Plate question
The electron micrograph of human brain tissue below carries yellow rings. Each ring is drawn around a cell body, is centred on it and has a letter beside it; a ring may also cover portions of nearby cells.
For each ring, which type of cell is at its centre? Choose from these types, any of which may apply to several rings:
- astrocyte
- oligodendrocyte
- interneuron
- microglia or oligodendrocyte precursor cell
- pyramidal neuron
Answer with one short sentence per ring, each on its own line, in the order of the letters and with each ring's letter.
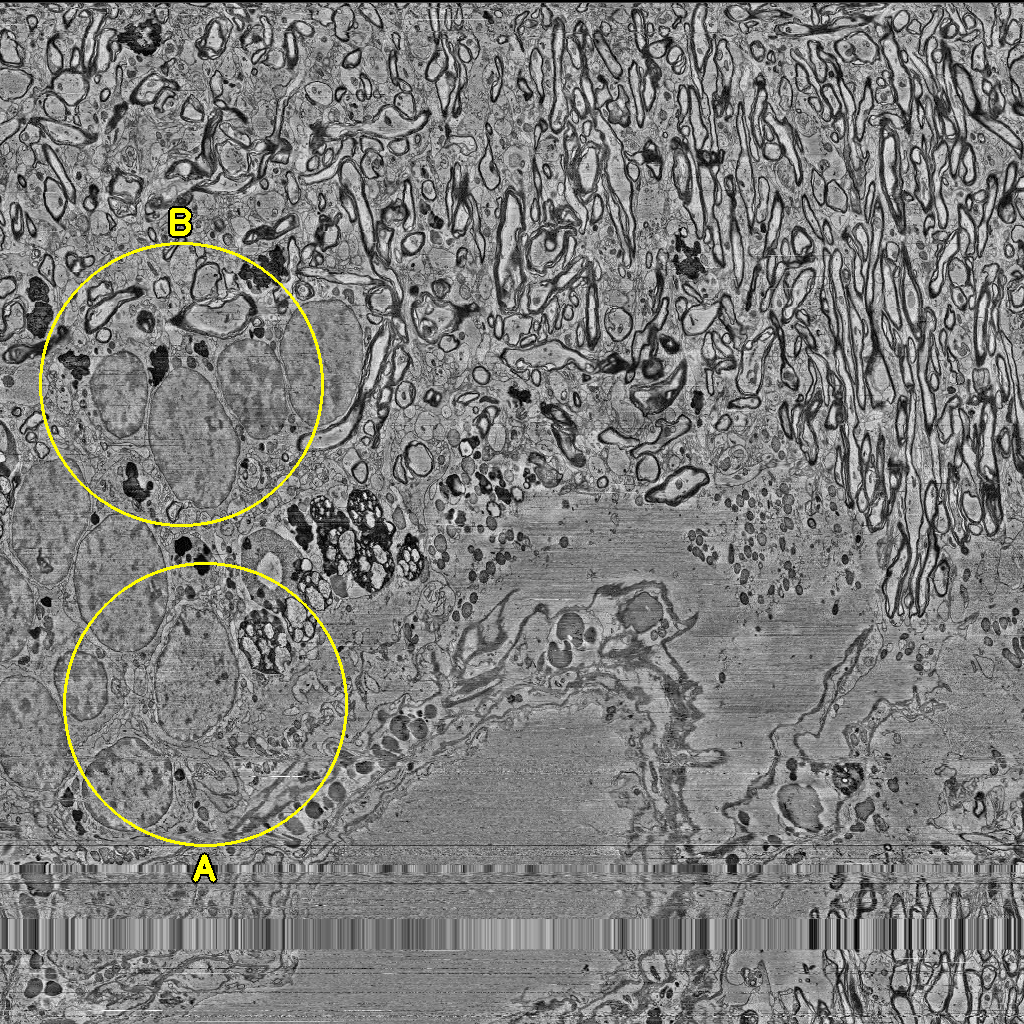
The cell ringed as A is an astrocyte.
The cell ringed as B is an oligodendrocyte.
